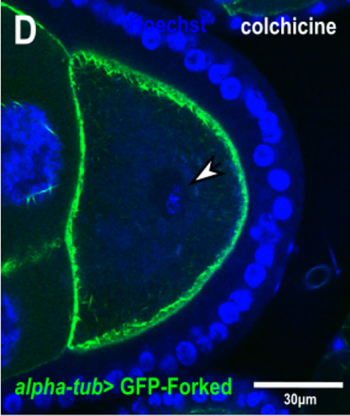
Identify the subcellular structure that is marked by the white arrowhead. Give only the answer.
oocyte nucleus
